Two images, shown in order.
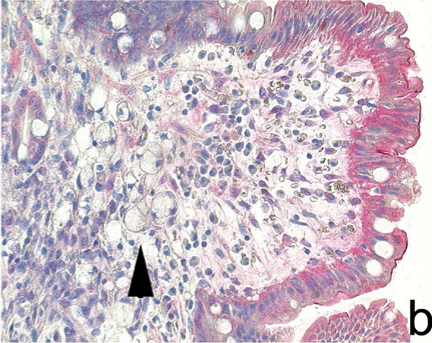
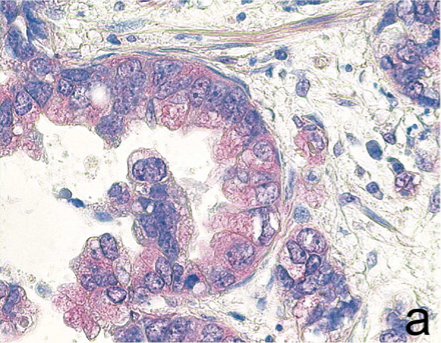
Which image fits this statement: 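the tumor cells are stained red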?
The second image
